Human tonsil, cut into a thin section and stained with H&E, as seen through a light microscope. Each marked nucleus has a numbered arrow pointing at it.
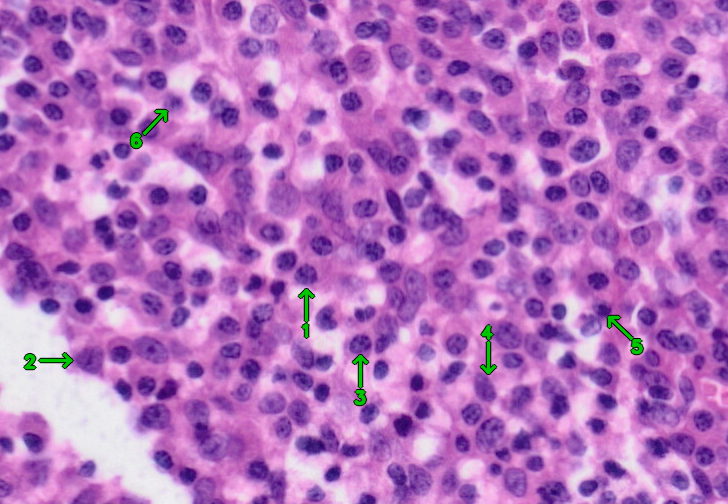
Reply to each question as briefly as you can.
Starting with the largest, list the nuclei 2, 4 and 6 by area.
2, 4, 6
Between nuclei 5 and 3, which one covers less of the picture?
5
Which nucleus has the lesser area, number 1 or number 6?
6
